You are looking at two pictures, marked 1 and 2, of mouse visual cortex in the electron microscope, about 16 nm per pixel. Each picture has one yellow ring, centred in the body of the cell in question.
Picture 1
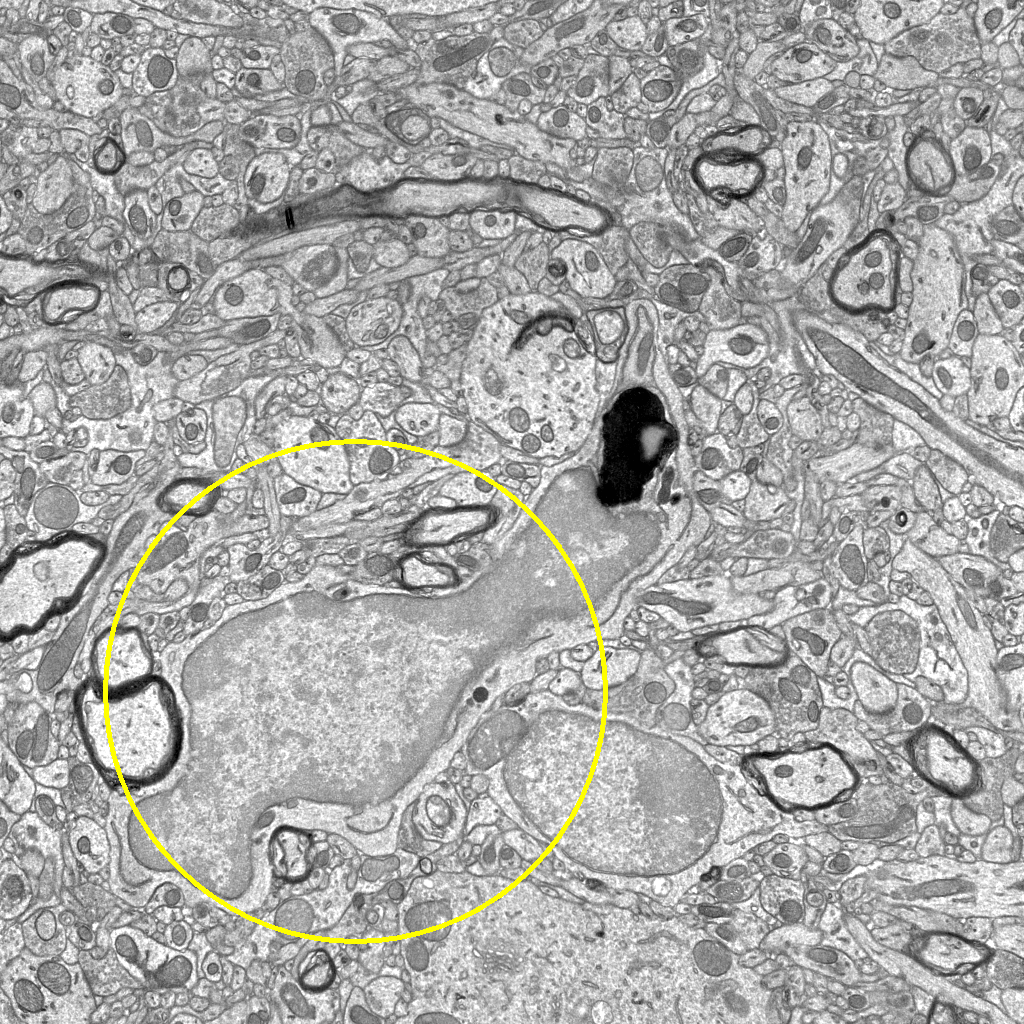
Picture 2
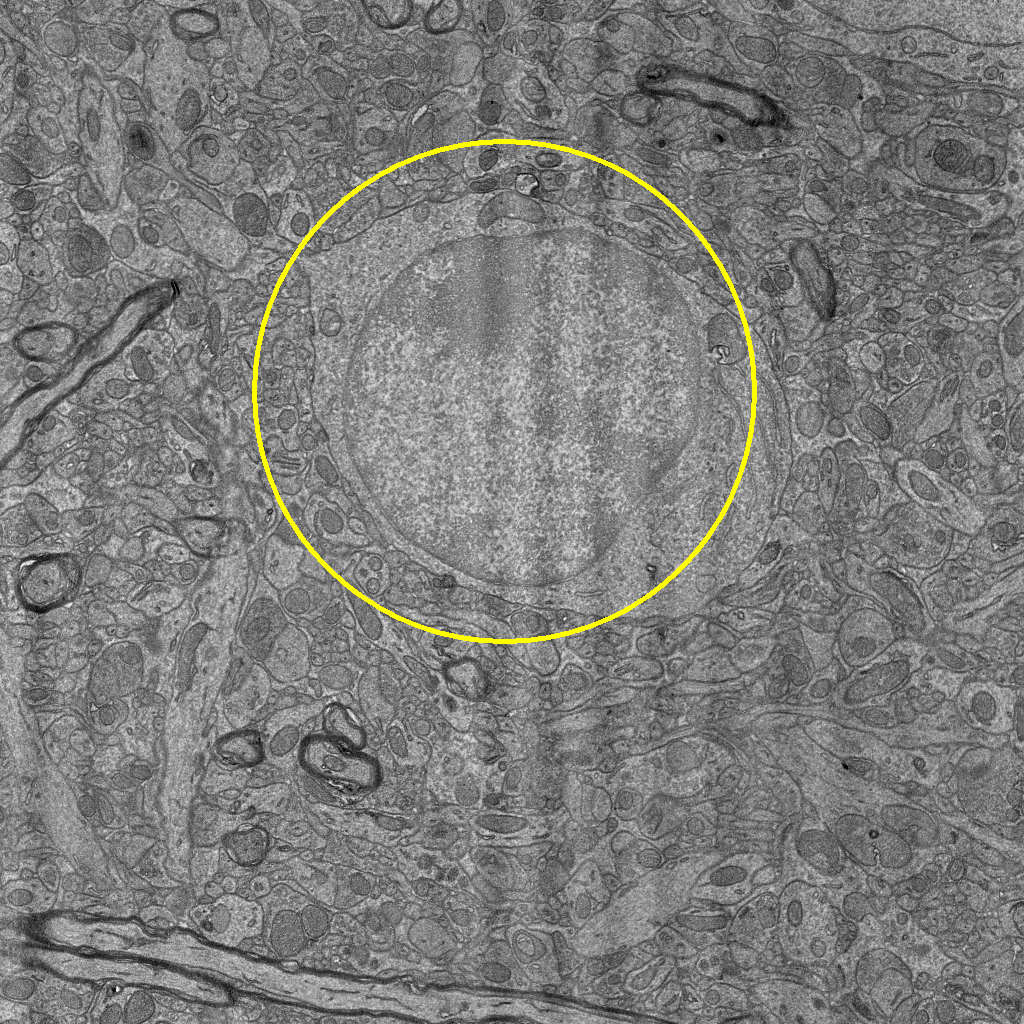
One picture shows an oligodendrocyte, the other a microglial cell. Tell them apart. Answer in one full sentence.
In picture 1 the cell is a microglial cell; in picture 2, an oligodendrocyte.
